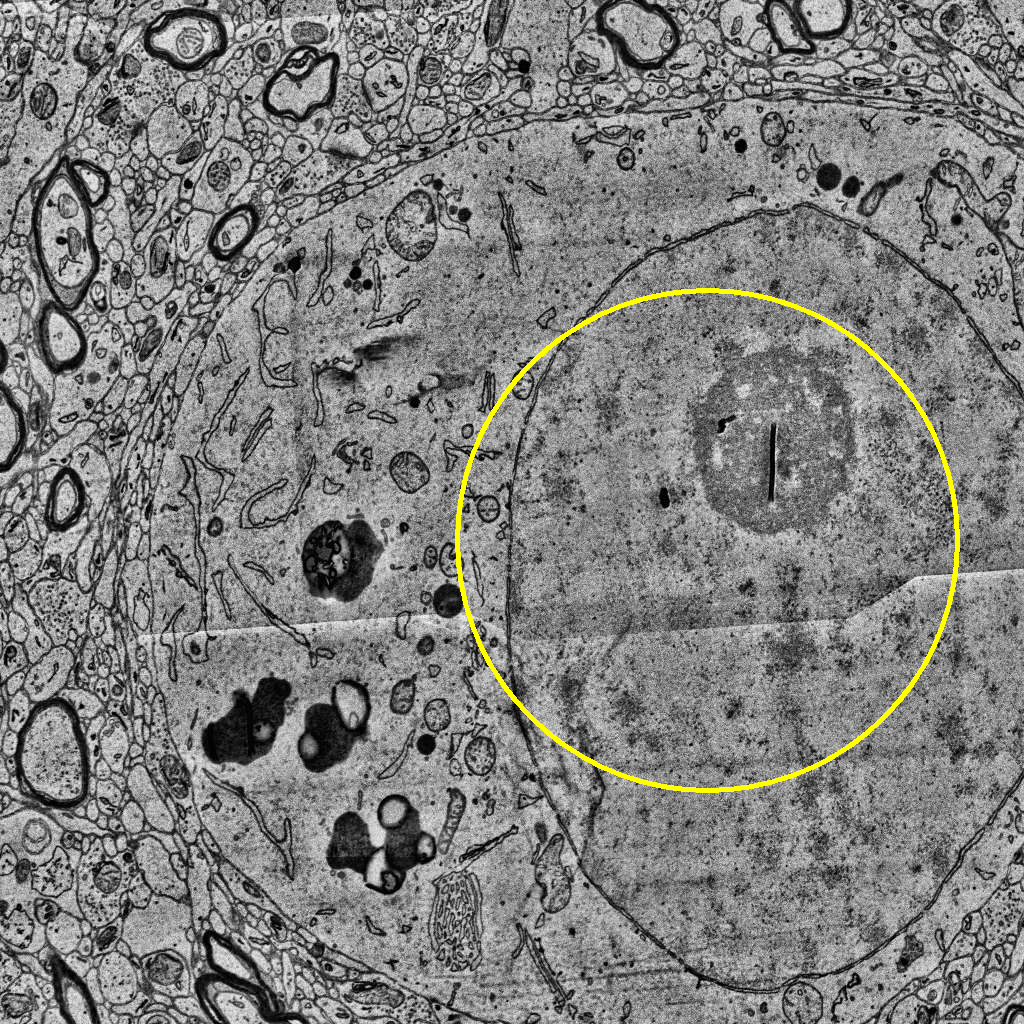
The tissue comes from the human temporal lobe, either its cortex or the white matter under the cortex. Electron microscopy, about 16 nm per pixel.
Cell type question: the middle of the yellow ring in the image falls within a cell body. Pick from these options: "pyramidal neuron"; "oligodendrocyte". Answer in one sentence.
The cell body at the center of the ring belongs to a pyramidal neuron.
